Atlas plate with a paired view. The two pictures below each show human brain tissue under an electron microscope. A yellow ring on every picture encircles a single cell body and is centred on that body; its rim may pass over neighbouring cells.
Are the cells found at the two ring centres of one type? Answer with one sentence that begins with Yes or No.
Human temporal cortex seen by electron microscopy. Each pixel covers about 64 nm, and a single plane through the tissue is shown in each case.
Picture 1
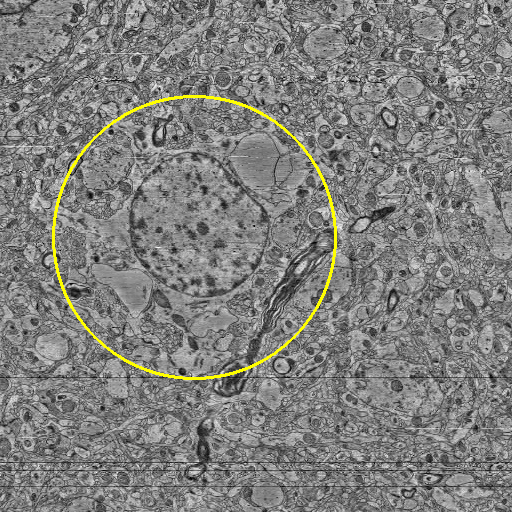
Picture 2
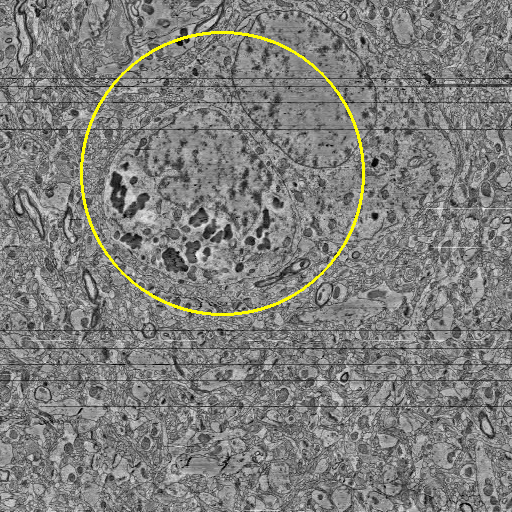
No, the two cells lying at the centres of the rings are of two types.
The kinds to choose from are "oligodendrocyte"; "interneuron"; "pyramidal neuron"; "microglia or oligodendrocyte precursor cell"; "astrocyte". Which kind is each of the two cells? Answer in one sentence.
Of the two, the first cell is an astrocyte and the second cell is an interneuron.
